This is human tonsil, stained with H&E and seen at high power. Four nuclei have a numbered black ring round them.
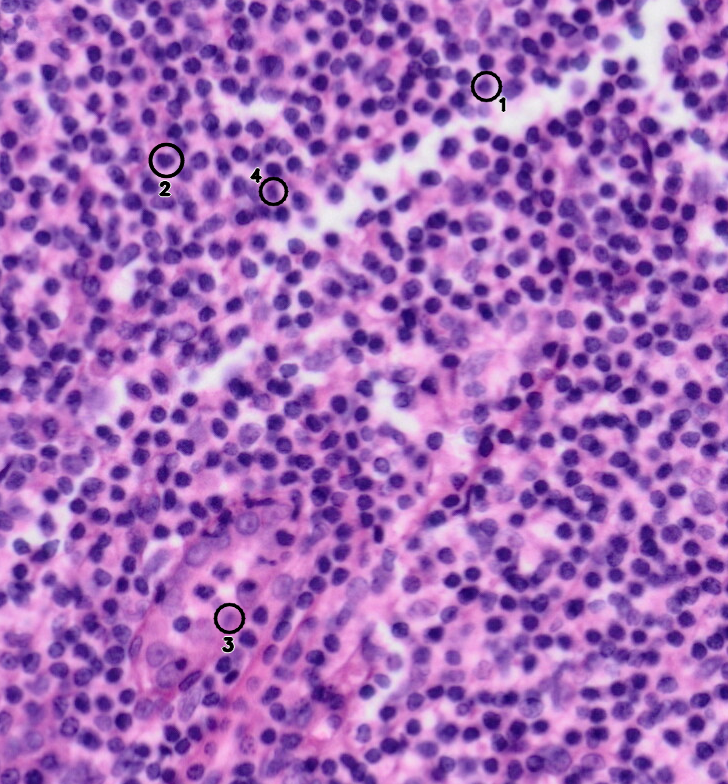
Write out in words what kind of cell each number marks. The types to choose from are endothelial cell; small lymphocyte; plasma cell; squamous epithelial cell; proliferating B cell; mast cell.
Cell 1 is a small lymphocyte, cell 2 is a small lymphocyte, cell 3 is an endothelial cell and cell 4 is a small lymphocyte.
